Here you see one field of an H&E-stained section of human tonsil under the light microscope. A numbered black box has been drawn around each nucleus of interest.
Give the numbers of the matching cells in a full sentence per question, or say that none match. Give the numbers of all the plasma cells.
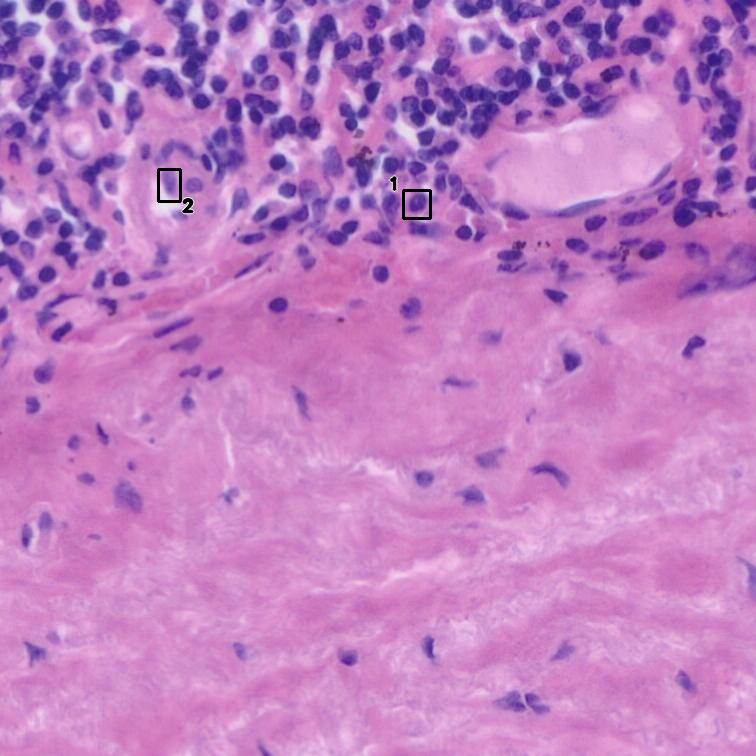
Cell 1 is a plasma cell; the remaining numbered cells are not.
